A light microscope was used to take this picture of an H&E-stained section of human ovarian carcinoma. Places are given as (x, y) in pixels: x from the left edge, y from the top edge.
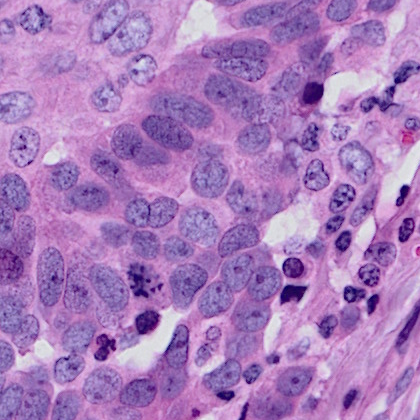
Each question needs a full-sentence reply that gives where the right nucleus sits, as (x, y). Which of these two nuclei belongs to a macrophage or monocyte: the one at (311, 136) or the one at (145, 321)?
The one belonging to a macrophage or monocyte is the nucleus at (311, 136), not the other.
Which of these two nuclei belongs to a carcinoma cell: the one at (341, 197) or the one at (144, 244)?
Of the two nuclei, that at (144, 244) is the nucleus of a carcinoma cell.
